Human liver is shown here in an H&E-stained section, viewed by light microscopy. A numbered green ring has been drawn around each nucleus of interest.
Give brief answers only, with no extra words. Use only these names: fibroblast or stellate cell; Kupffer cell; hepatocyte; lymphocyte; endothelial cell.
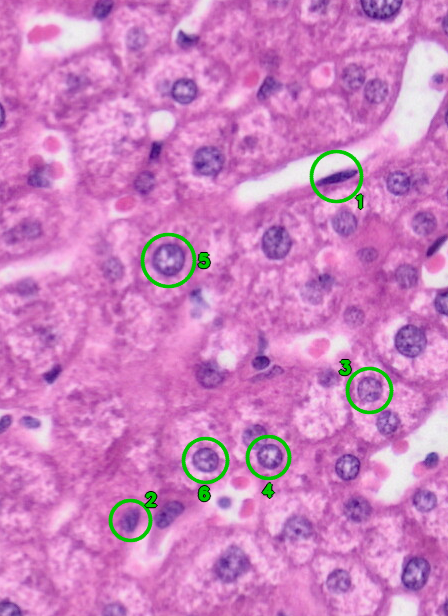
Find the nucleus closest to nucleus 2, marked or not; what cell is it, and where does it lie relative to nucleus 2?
a Kupffer cell to the right of nucleus 2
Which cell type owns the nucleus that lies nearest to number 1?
hepatocyte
